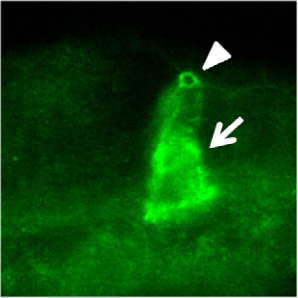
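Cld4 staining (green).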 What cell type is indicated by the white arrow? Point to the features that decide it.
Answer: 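Solitary epithelial cells. One isolated flask-shaped cell is outlined in green against a dark epithelium. The cell narrows to a small ring at its apex.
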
